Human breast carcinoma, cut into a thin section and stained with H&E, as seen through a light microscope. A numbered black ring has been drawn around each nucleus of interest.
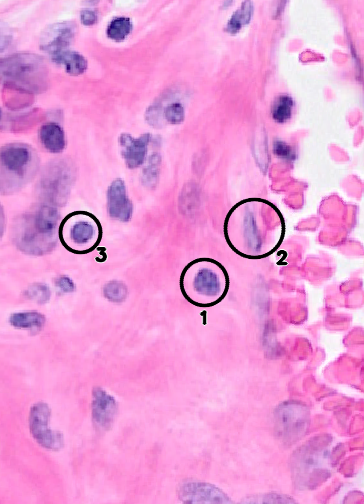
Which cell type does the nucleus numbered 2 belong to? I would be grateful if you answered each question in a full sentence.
The cell pointed out as number 2 is an endothelial cell.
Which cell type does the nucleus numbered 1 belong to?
The cell given label 1 is a lymphocyte.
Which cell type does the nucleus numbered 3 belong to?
In this section, number 3 marks a lymphocyte.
